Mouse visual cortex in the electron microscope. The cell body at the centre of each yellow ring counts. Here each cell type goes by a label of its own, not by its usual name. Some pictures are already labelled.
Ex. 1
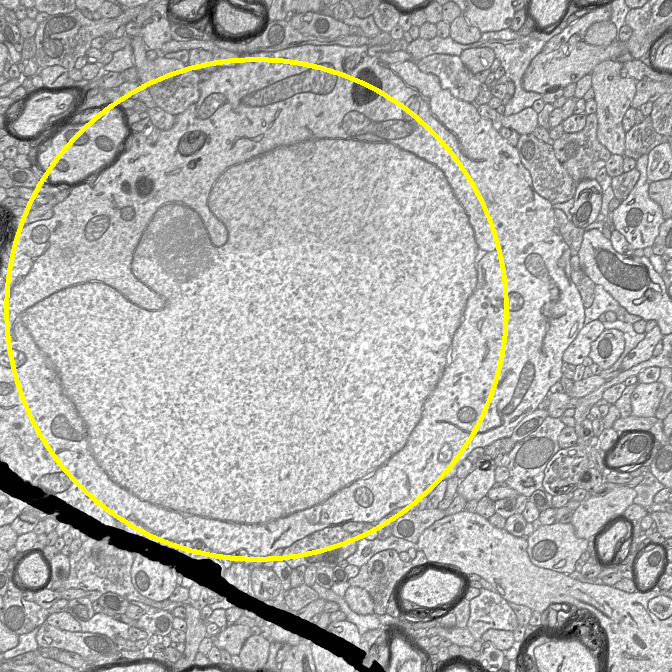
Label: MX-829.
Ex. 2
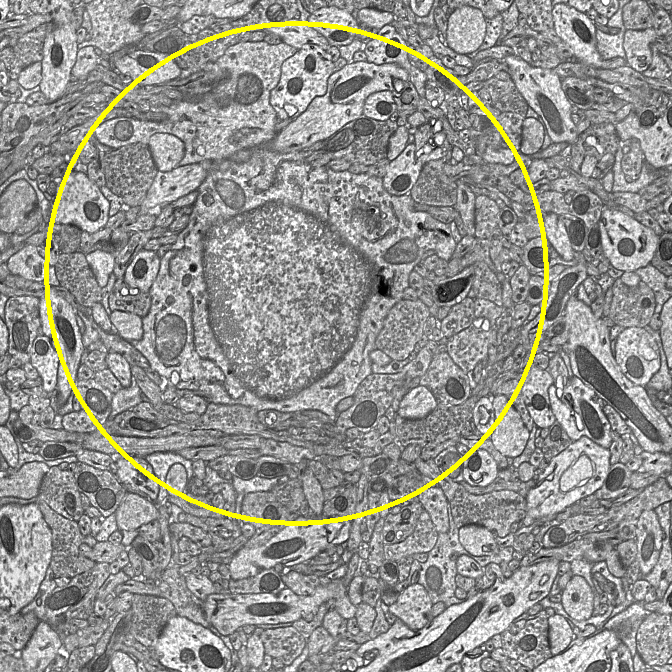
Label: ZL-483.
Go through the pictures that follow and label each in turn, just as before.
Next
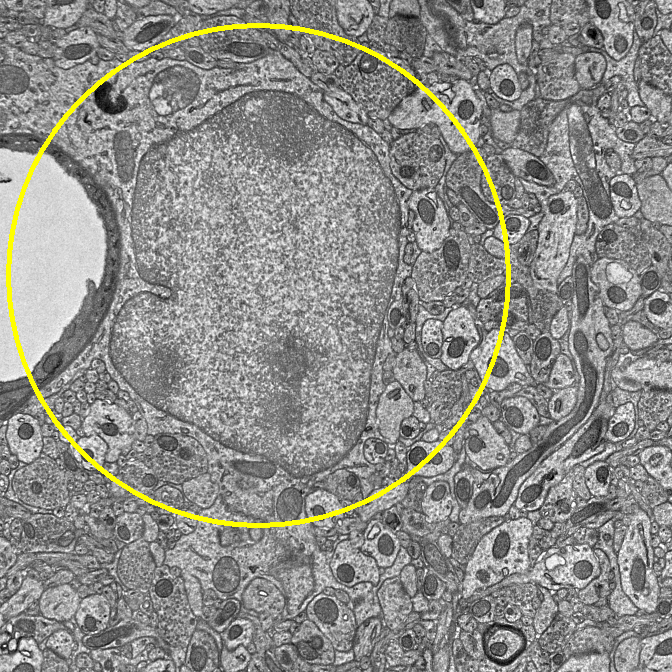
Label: ZL-483.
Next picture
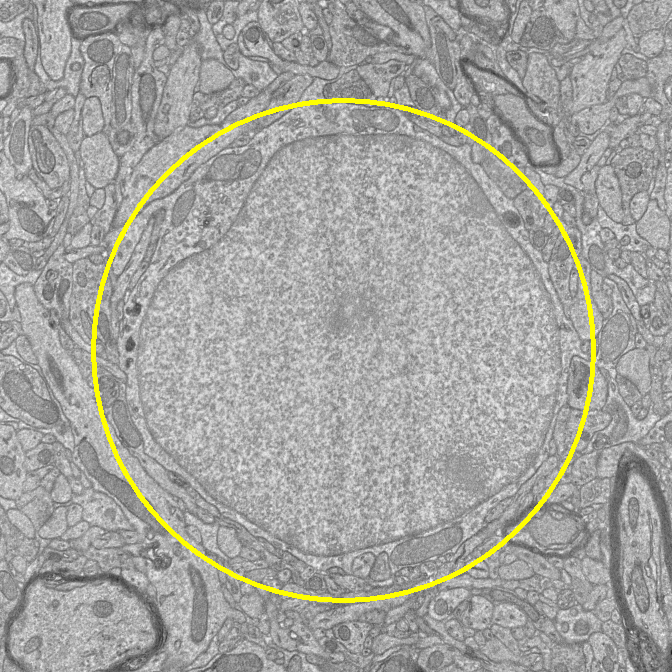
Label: ZL-483.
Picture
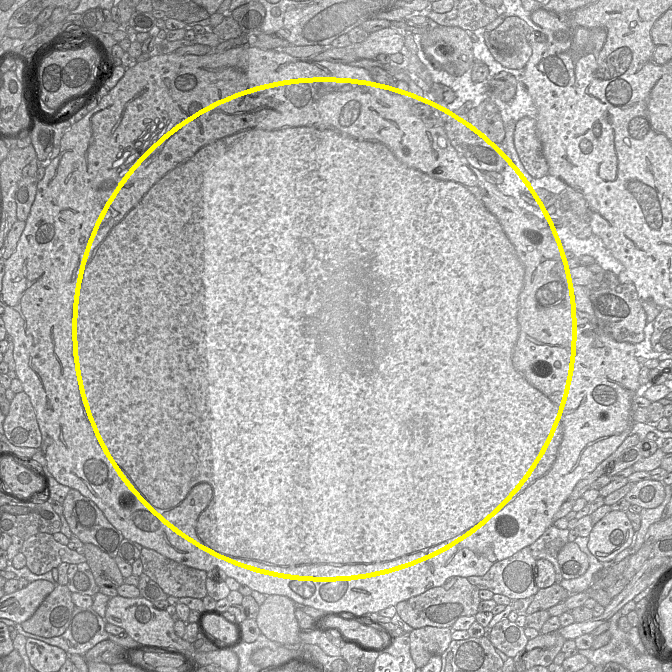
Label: MX-829.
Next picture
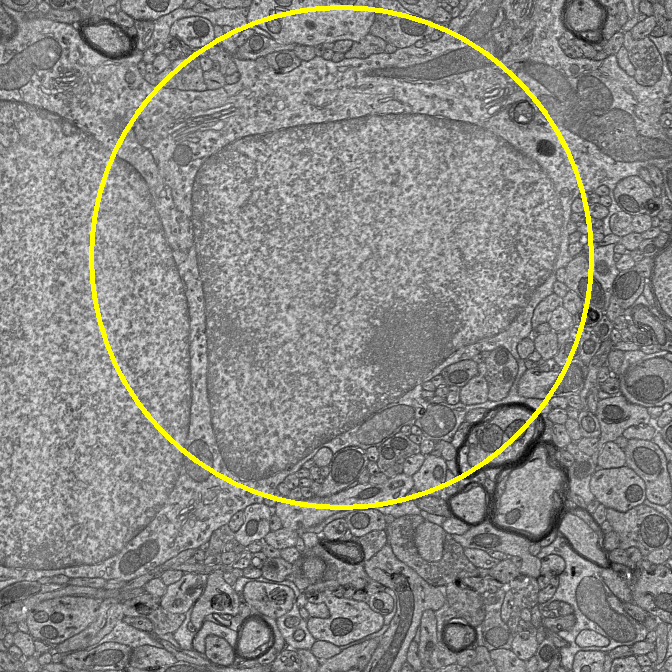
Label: ZL-483.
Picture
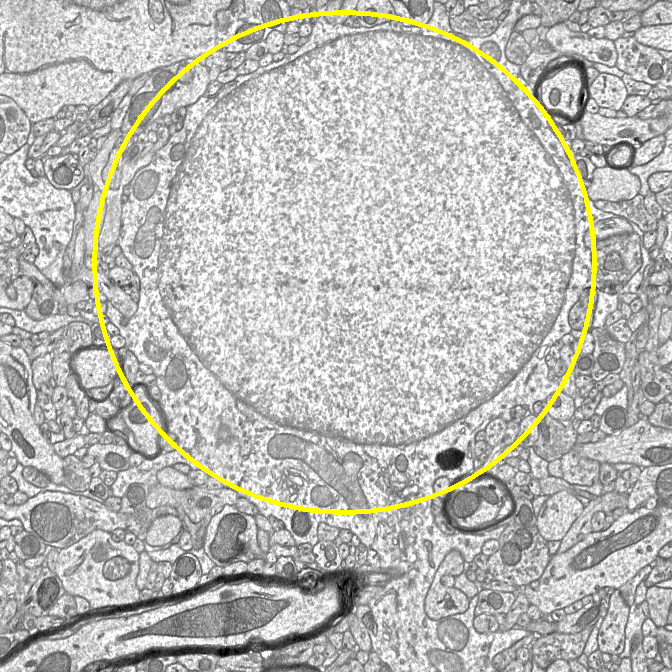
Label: ZL-483.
